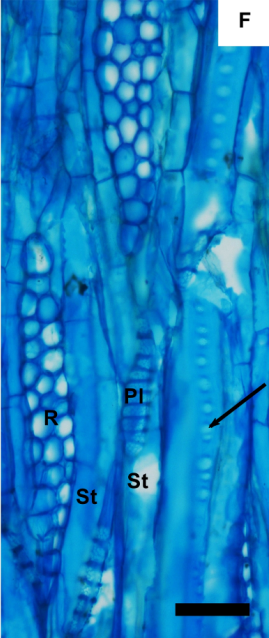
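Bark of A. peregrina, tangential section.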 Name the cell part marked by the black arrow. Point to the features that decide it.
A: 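The arrow points to a row of small rounded pits along the side wall of a long, narrow cell. The answer: lateral sieve areas.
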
